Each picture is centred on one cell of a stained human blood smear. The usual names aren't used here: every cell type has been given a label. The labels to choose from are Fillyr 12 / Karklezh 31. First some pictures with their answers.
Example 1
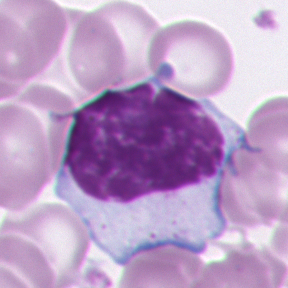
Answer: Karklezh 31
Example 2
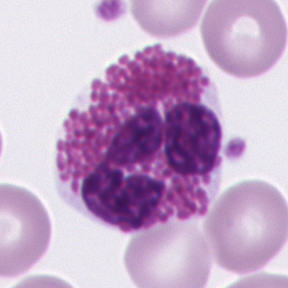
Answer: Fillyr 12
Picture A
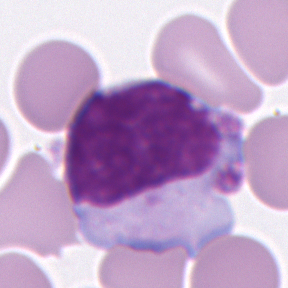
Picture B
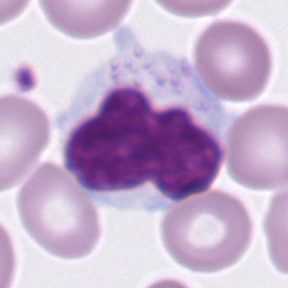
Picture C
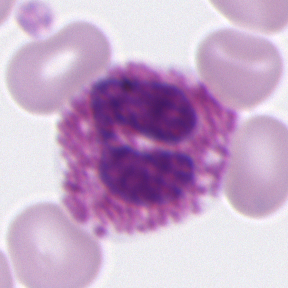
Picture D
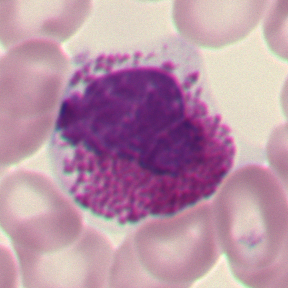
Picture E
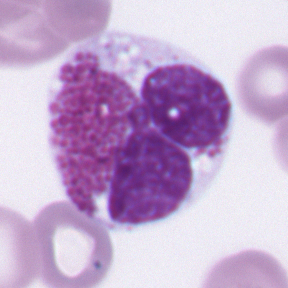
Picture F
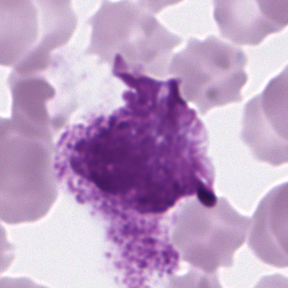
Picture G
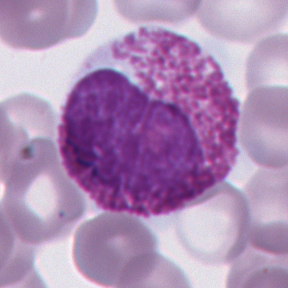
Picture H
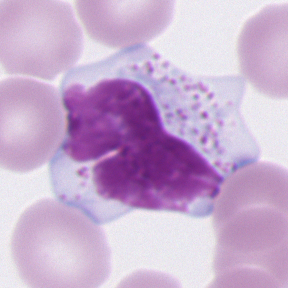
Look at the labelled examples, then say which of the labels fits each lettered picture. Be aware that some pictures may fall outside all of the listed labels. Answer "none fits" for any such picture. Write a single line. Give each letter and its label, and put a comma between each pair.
A Karklezh 31, B Karklezh 31, C Fillyr 12, D Fillyr 12, E Fillyr 12, F Fillyr 12, G Fillyr 12, H Karklezh 31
